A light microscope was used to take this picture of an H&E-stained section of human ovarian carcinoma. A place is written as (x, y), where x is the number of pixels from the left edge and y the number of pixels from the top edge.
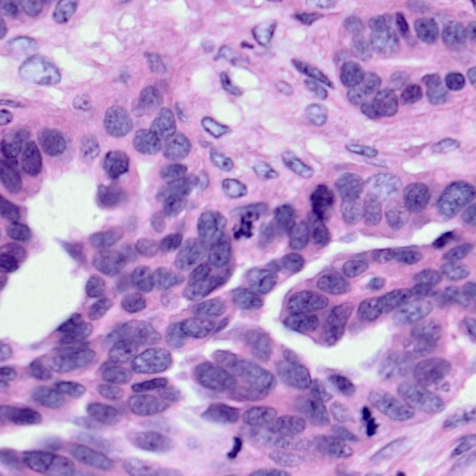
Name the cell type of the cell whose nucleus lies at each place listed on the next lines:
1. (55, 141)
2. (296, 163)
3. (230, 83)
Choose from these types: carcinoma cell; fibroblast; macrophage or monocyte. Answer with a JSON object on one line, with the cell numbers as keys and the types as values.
{"1": "carcinoma cell", "2": "fibroblast", "3": "fibroblast"}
